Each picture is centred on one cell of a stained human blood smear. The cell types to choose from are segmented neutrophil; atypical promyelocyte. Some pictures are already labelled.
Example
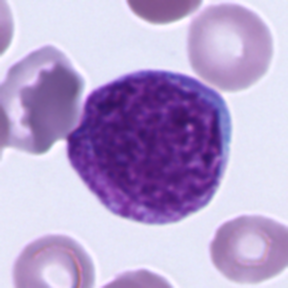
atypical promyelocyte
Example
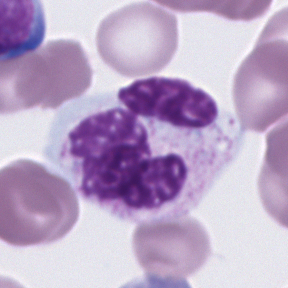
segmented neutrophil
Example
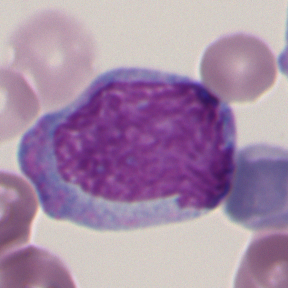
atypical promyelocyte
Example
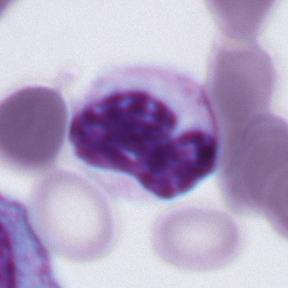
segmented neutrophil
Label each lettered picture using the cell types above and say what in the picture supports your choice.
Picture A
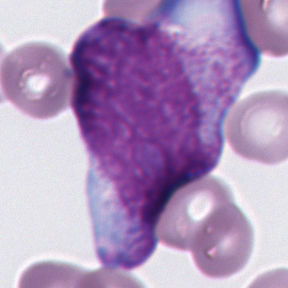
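Label: atypical promyelocyte. The nucleus fills most of the cell.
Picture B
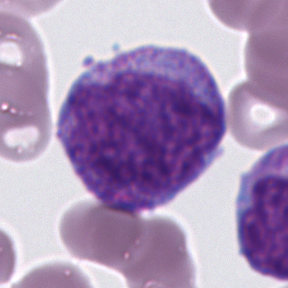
Label: atypical promyelocyte. The cytoplasm is a narrow blue crescent that is widest along the top of the cell.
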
